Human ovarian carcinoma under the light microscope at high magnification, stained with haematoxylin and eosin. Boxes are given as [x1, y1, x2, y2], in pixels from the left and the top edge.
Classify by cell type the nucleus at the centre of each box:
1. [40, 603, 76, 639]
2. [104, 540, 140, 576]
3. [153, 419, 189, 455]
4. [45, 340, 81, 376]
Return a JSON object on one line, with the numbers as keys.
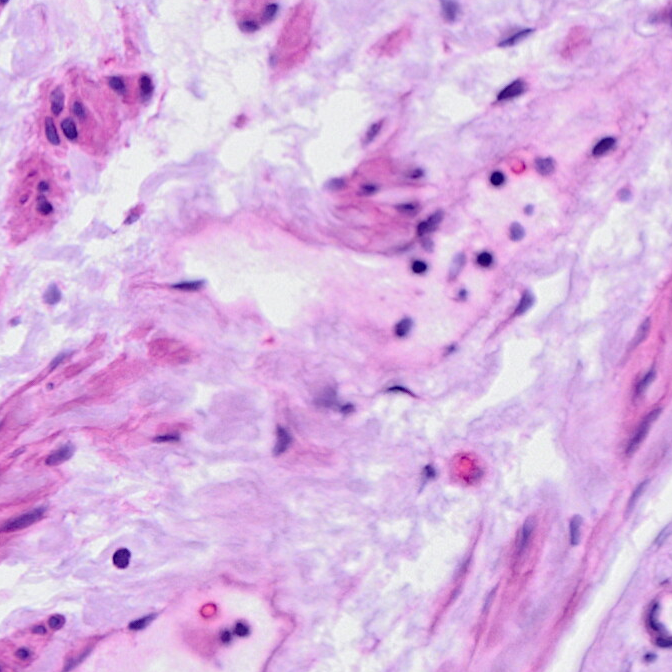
{"1": "smooth muscle cell", "2": "lymphocyte", "3": "smooth muscle cell", "4": "smooth muscle cell"}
